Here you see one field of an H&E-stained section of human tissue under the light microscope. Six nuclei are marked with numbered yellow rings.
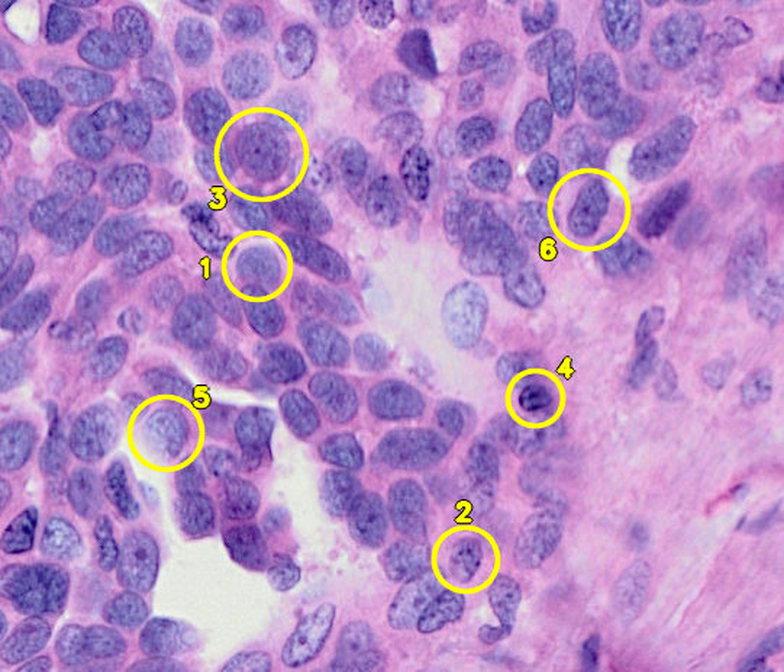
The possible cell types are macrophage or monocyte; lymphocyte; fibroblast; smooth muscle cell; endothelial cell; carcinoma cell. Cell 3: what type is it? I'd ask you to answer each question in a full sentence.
Cell number 3 in this section is a carcinoma cell.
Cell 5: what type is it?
Identified as a carcinoma cell is the cell bearing the number 5.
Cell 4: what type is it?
Here the cell numbered 4 is a lymphocyte.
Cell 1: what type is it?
The marked cell with the number 1 is recognised as a carcinoma cell.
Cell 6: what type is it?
It is as a carcinoma cell that the cell numbered 6 is identified.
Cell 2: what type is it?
The cell that bears the number 2 is a macrophage or monocyte.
